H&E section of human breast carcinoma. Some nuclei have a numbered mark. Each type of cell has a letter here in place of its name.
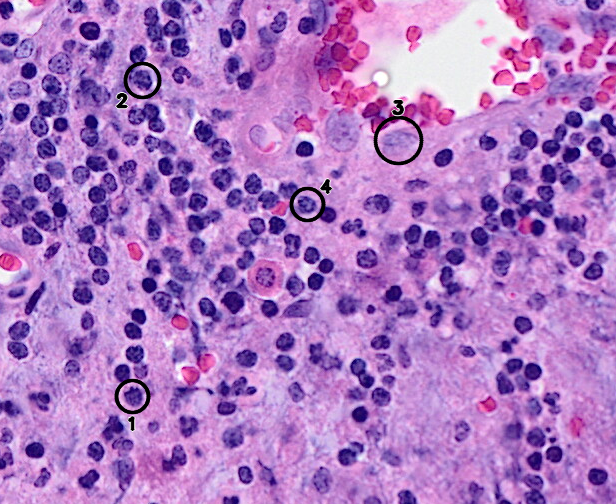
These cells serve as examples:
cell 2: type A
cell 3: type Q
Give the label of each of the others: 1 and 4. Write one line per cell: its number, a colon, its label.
1: type A
4: type A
